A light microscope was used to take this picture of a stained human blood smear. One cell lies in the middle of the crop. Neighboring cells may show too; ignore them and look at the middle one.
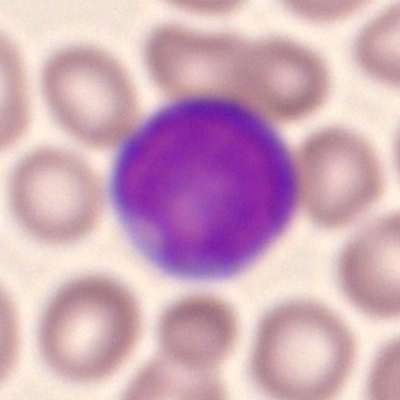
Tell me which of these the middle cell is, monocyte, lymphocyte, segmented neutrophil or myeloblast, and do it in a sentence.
The centrally located cell in the crop is a myeloblast.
